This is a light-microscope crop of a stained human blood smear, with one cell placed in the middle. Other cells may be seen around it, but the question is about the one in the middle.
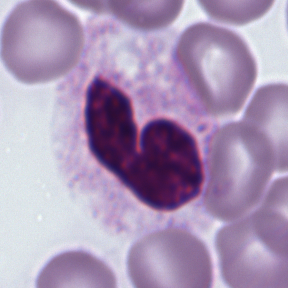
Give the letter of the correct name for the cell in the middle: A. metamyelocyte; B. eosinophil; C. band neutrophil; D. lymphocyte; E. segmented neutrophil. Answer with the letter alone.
C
